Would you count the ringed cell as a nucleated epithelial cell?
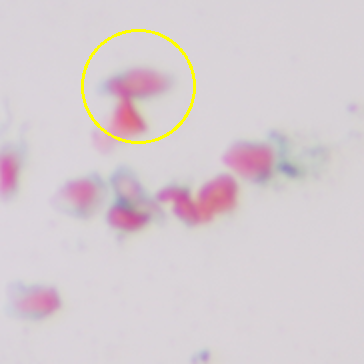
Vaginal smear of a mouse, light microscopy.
No, I would count it as a cornified epithelial cell.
